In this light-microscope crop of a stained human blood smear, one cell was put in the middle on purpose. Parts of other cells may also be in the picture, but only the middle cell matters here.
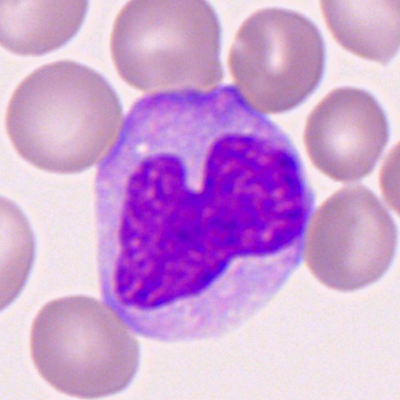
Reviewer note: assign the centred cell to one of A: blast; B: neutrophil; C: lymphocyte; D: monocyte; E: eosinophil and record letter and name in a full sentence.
Identification: the cell in the middle is a monocyte, matching option D.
